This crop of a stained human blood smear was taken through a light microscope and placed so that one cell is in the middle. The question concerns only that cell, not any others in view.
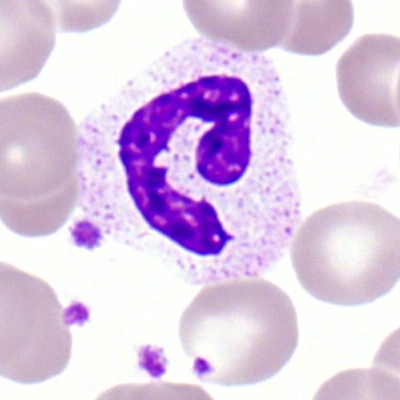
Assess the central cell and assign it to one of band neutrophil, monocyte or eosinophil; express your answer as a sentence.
Of the cells in this crop, the central one is a band neutrophil.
